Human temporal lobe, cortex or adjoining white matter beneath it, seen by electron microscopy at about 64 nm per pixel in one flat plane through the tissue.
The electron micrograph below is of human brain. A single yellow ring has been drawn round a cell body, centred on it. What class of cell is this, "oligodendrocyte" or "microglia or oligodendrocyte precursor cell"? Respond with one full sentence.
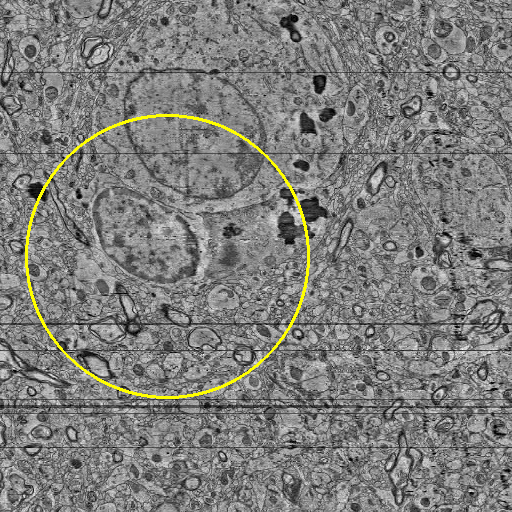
In the micrograph, the cell centred inside the yellow ring is a microglial cell or oligodendrocyte precursor cell.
